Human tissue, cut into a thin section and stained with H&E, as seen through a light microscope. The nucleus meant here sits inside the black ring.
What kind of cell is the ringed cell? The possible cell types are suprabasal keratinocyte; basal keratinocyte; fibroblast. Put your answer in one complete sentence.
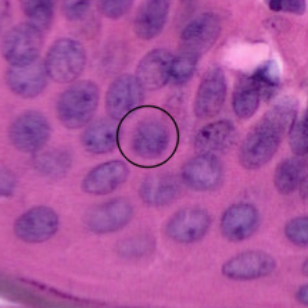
The cell meant here is a suprabasal keratinocyte.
